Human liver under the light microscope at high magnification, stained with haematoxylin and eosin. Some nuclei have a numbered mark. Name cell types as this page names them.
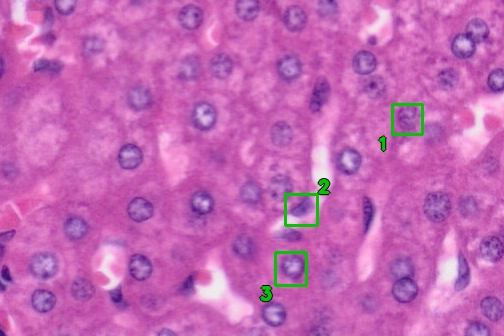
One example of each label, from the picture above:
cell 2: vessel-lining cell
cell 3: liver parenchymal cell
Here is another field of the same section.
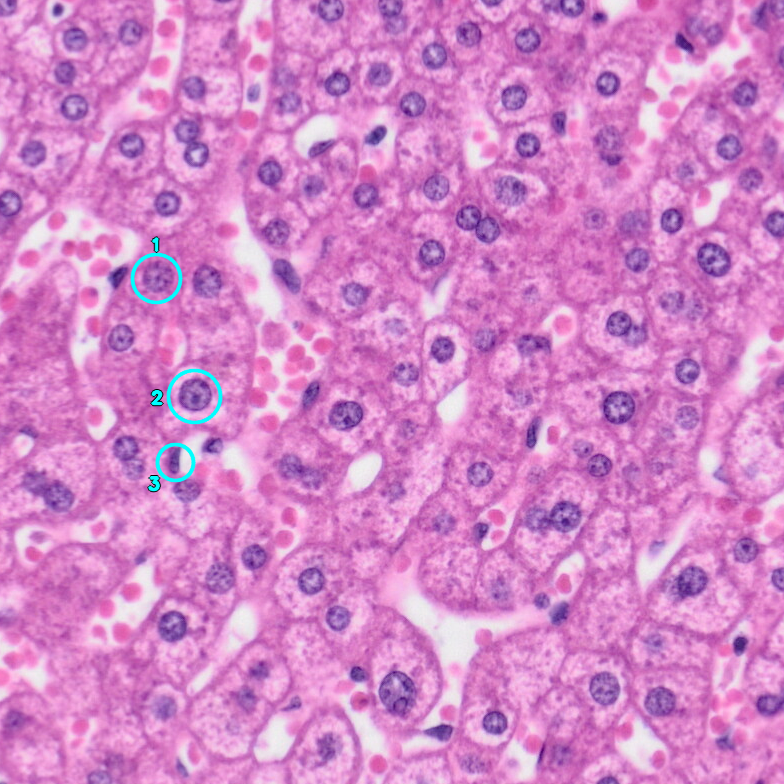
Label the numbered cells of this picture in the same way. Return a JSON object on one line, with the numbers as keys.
{"1": "liver parenchymal cell", "2": "liver parenchymal cell", "3": "vessel-lining cell"}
